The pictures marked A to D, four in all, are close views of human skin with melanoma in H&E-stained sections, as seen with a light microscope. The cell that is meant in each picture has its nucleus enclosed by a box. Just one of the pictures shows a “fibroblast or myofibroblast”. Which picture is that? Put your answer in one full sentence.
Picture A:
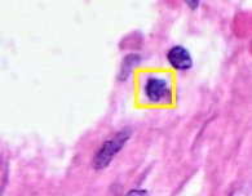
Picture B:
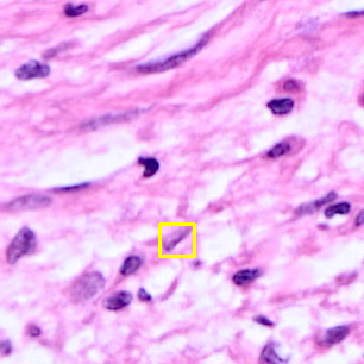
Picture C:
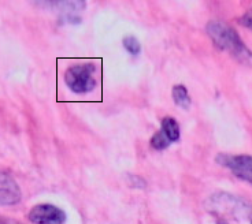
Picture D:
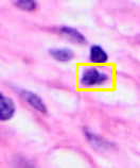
Picture B is the one that shows the “fibroblast or myofibroblast”.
